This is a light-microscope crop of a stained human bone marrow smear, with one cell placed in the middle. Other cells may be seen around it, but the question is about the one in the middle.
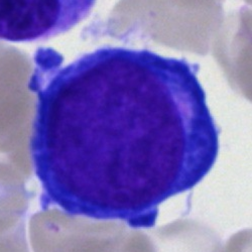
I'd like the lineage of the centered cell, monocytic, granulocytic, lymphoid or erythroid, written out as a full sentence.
The cell held in the center of the crop belongs to the erythroid lineage.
